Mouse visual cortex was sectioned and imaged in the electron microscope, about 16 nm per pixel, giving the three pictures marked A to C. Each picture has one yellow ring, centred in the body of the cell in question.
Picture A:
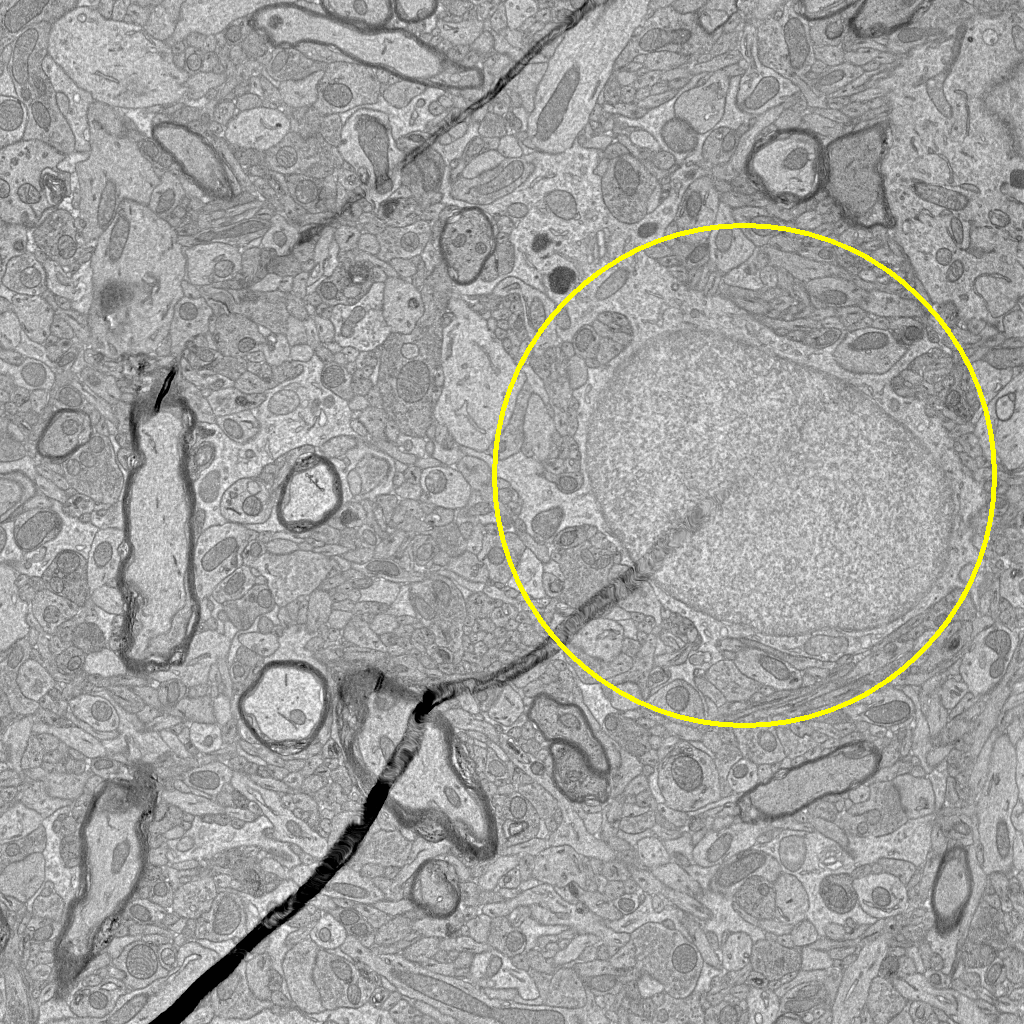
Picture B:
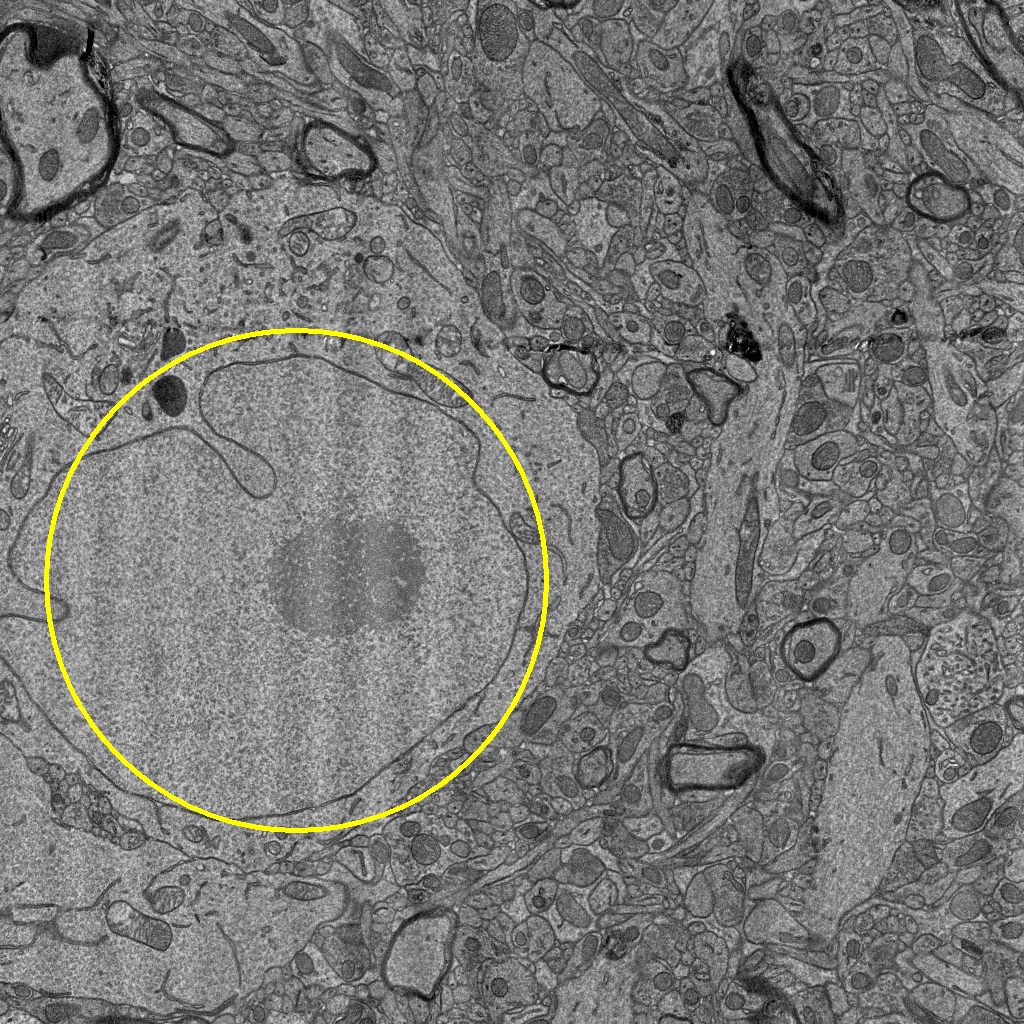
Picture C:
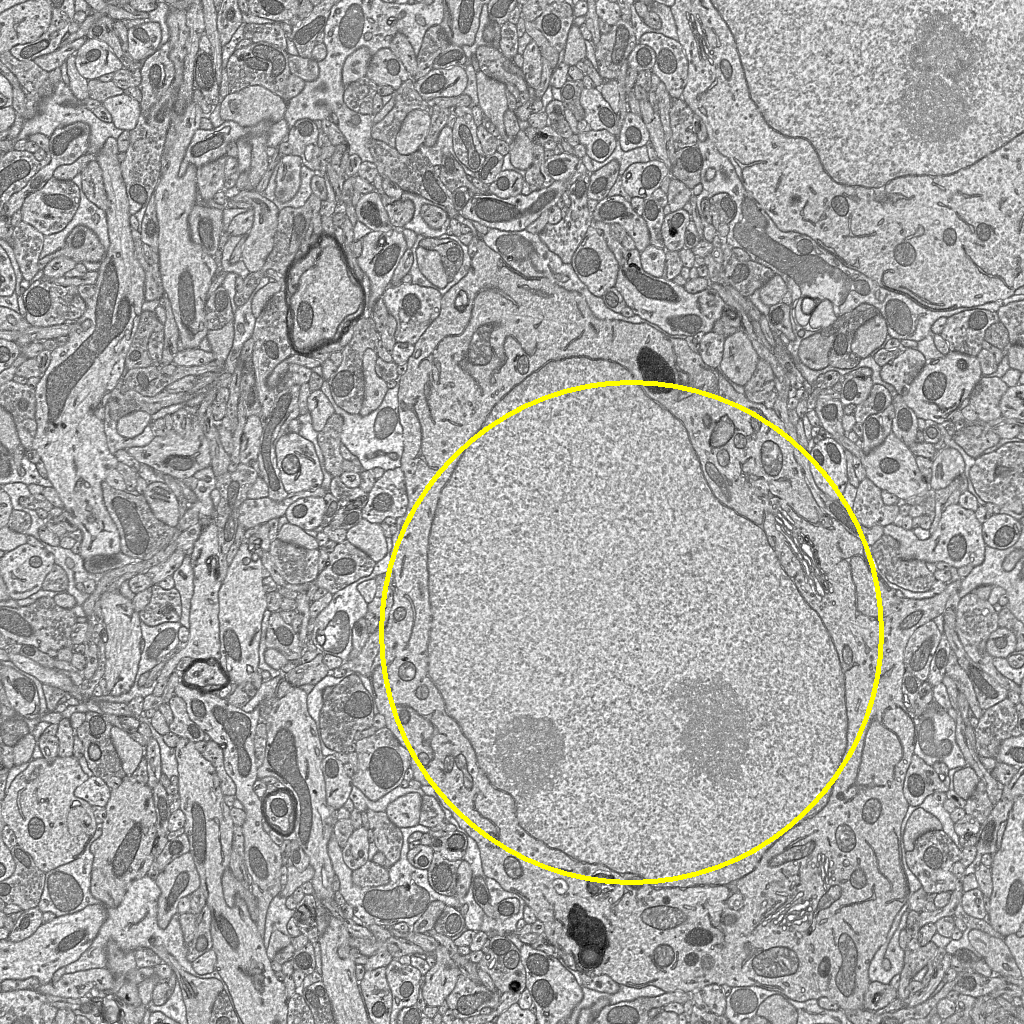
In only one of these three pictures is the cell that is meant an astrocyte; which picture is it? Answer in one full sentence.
The astrocyte is the one in picture A.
